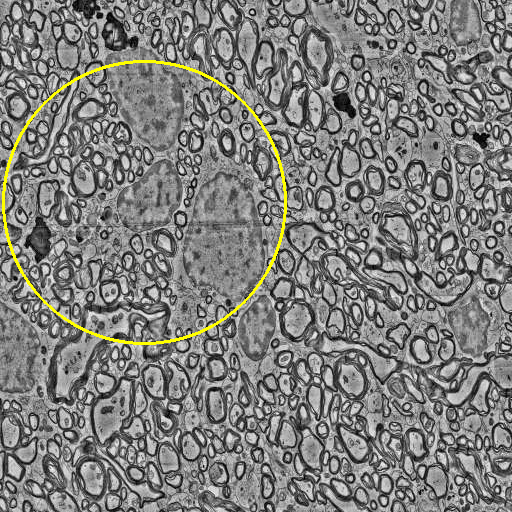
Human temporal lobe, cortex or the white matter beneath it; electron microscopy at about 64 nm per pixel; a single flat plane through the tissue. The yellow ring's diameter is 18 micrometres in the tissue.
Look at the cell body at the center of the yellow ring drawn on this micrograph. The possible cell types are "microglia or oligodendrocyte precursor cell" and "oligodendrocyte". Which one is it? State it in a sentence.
The cell in the middle of the ring is a microglial cell or oligodendrocyte precursor cell.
